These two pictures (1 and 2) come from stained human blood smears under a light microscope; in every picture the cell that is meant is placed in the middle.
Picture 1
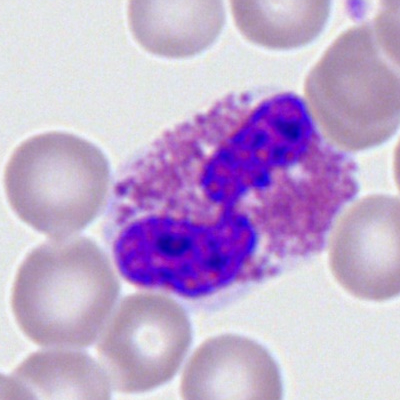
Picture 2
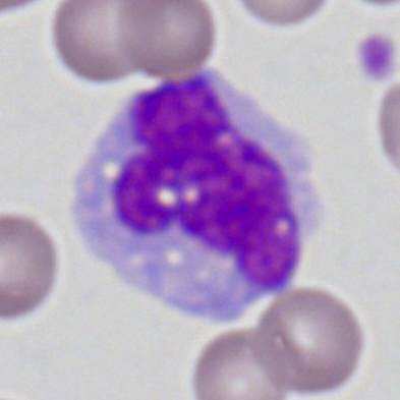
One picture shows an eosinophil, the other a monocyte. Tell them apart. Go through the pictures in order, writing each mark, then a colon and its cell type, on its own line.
1: eosinophil
2: monocyte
